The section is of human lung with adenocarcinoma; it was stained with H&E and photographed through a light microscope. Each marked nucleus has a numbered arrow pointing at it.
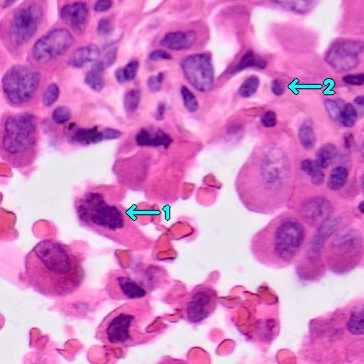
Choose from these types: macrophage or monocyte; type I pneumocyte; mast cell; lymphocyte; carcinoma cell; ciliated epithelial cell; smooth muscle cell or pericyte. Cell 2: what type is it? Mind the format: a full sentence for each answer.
Cell number 2 in this section is a lymphocyte.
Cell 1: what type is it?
In this section, the cell tagged 1 is a carcinoma cell.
